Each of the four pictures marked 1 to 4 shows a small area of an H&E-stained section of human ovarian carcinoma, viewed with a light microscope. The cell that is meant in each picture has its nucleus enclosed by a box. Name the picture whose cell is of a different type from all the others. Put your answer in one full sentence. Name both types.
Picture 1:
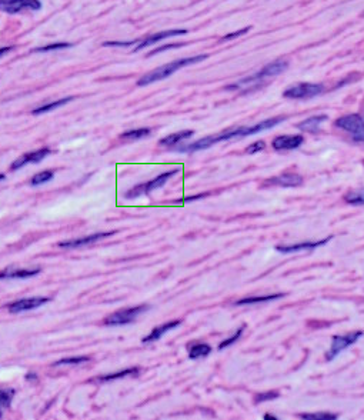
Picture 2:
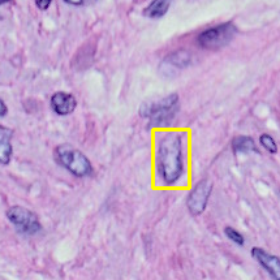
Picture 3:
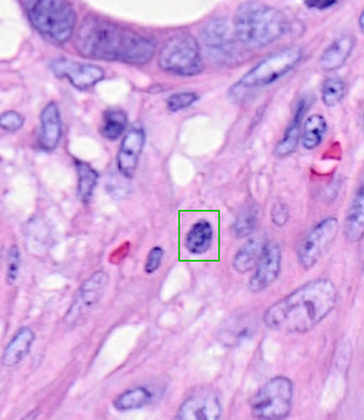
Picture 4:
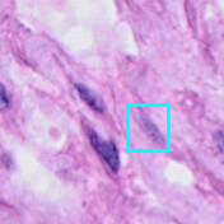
The others show fibroblasts, but picture 3 shows a lymphocyte.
